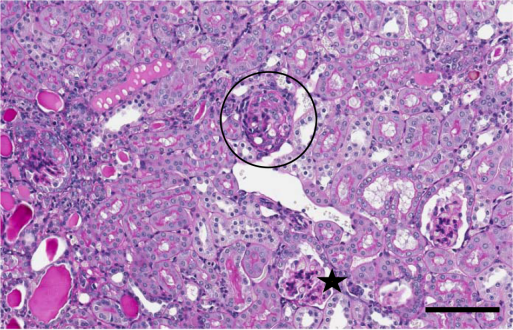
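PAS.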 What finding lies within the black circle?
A: sclerotic glomeruli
